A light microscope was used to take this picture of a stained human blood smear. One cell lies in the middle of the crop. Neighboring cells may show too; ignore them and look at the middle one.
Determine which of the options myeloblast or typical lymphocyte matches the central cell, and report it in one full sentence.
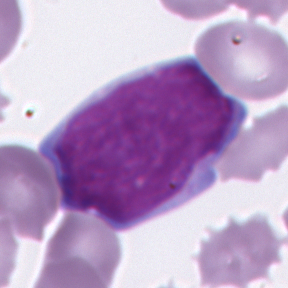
In short, the cell at the center is a myeloblast.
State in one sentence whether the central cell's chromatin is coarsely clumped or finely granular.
Check the chromatin: it is fine and not coarsely clumped.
